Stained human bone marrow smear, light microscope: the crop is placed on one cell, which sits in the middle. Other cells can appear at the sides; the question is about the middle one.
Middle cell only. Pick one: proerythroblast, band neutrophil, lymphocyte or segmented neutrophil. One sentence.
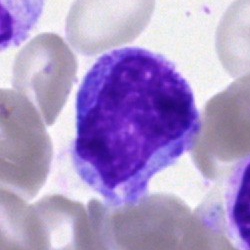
The cell found in the middle of this crop is a lymphocyte.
